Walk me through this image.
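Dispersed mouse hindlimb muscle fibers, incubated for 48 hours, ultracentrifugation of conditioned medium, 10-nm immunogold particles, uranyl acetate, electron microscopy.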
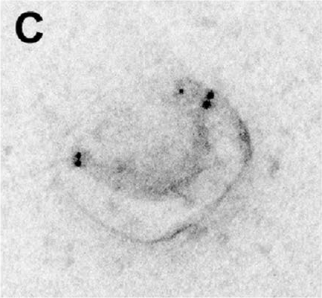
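A single nanovesicle is seen as a large, irregularly rounded membrane-bounded sac with a thin dark outline and a pale interior. The membrane appears folded, with a darker curved fold running across the vesicle. Small, very dense black dots, singly and in little groups, sit along the membrane edge.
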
